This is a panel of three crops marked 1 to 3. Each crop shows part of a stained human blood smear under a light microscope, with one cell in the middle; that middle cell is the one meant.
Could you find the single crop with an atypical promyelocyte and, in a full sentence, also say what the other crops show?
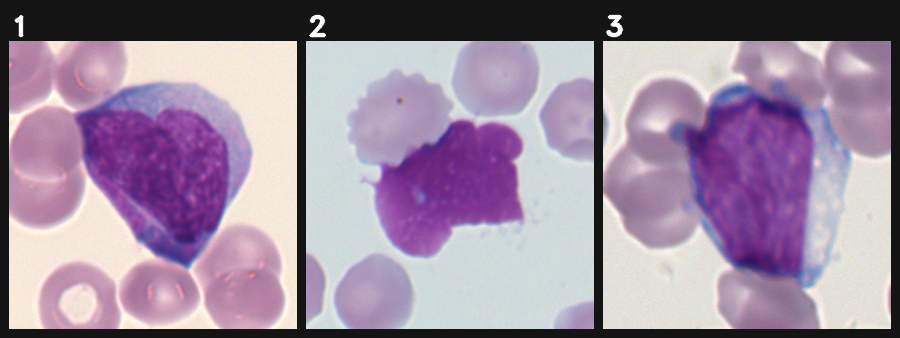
The cell of interest in crop 1 is an atypical promyelocyte, and crop 2 is a smudge cell and crop 3 is a myeloblast.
